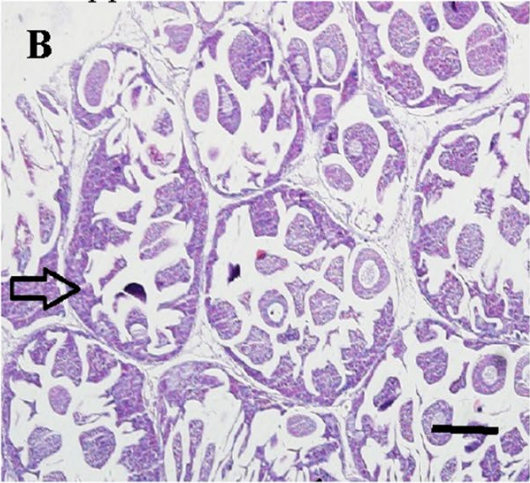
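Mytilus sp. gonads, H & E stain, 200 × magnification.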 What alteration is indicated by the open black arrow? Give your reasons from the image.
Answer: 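Atretic oocytes. Within a follicle, the oocytes at the arrow have lost their round outline and are irregular and shrunken. Wide clear spaces separate the misshapen oocyte remnants.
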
